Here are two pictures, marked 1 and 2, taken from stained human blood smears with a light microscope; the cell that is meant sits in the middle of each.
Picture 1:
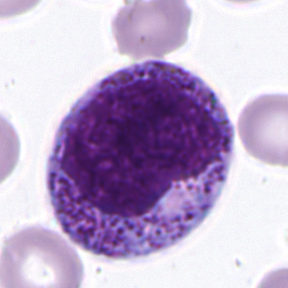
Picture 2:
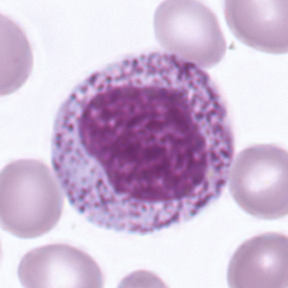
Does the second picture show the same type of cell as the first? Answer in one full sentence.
No, picture 1 shows a promyelocyte and picture 2 shows a myelocyte.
